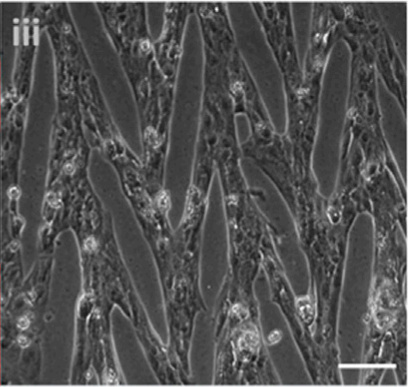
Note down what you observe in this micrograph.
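The cells are confined to narrow lanes that run mostly up and down and branch and rejoin at shallow angles, forming a zigzag network. Between the lanes lie smooth, evenly grey, spindle- to leaf-shaped areas without cells. Within the lanes the cells are crowded and flattened, with irregular, faintly granular outlines, and they form a continuous sheet. A few scattered cells are rounded and bright-rimmed and sit above the sheet. The cells follow the direction of the lanes and are aligned lengthwise along the long axis of the pattern.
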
